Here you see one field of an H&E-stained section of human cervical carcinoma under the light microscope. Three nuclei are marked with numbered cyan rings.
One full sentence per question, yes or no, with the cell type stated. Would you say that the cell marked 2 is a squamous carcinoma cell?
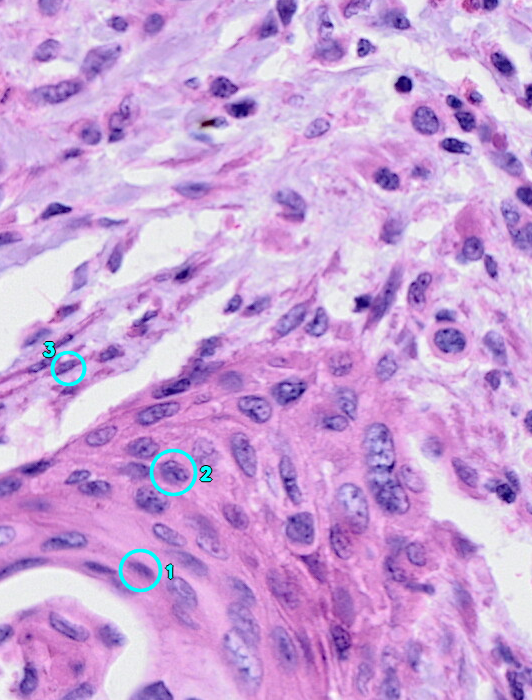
Yes, within this section, cell number 2 is a squamous carcinoma cell.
